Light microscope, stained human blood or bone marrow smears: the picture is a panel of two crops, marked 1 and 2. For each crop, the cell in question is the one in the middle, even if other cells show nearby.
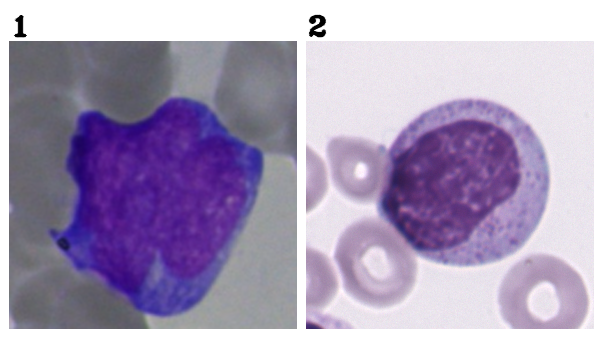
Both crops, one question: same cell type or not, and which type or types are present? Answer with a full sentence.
No, crop 1 captures a blast; meanwhile crop 2 captures a myelocyte.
